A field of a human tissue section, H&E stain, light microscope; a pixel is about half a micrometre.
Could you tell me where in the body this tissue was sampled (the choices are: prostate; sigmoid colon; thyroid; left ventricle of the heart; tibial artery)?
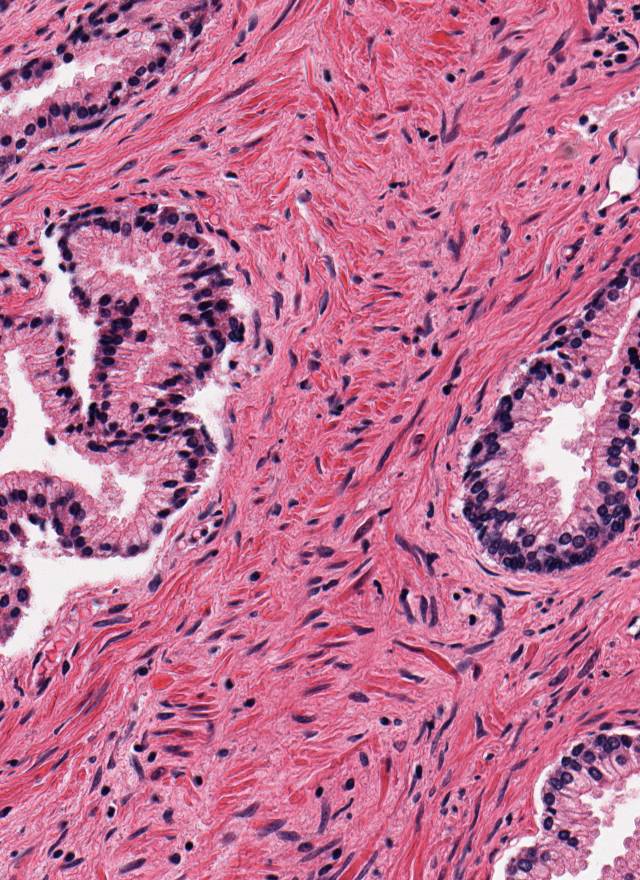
prostate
